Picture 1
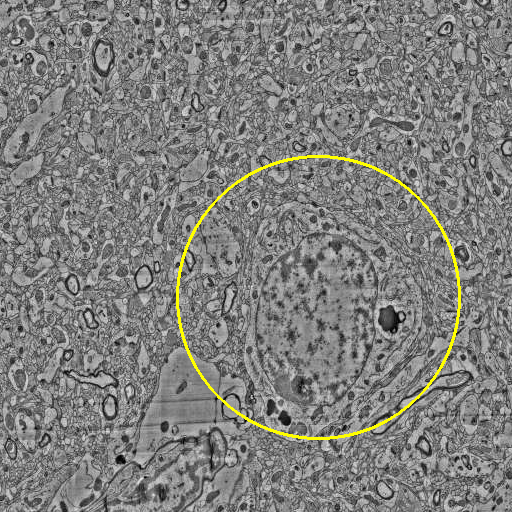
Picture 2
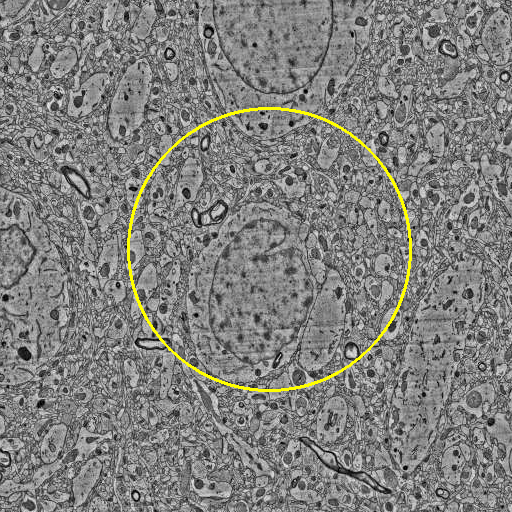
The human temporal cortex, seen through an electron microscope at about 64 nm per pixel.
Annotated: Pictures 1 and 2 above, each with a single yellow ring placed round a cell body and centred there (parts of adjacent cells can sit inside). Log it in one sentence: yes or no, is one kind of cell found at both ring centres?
Yes, the ring centres of the two pictures hold cells of one kind.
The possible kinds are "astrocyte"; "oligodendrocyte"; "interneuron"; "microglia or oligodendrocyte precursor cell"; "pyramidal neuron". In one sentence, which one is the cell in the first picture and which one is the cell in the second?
Each of the ringed cells, first and second, is an interneuron.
